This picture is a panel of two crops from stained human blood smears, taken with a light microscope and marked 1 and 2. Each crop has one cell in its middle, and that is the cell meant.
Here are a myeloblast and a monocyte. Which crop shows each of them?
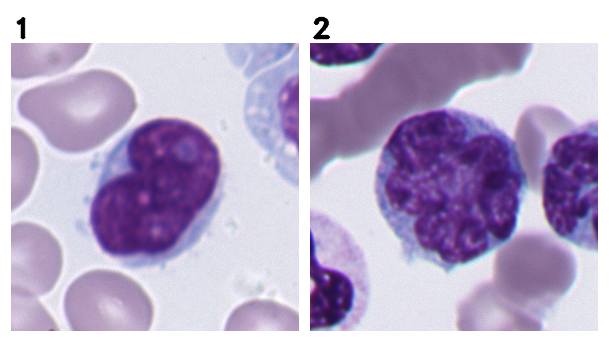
1: myeloblast
2: monocyte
